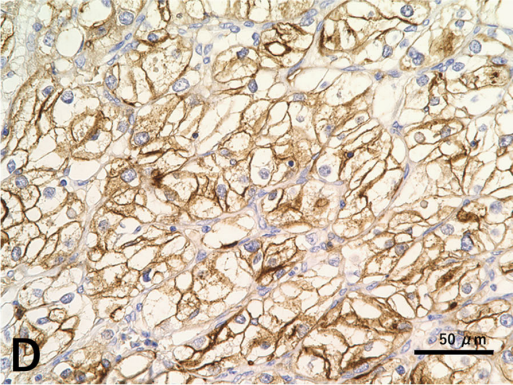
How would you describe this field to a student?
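Clear cell renal cell carcinoma with tumor cells arranged in nests separated by thin septa. The borders of most tumor cells are outlined by dark brown stain, while their cytoplasm is largely pale and clear, and the nuclei are small, round and blue.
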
